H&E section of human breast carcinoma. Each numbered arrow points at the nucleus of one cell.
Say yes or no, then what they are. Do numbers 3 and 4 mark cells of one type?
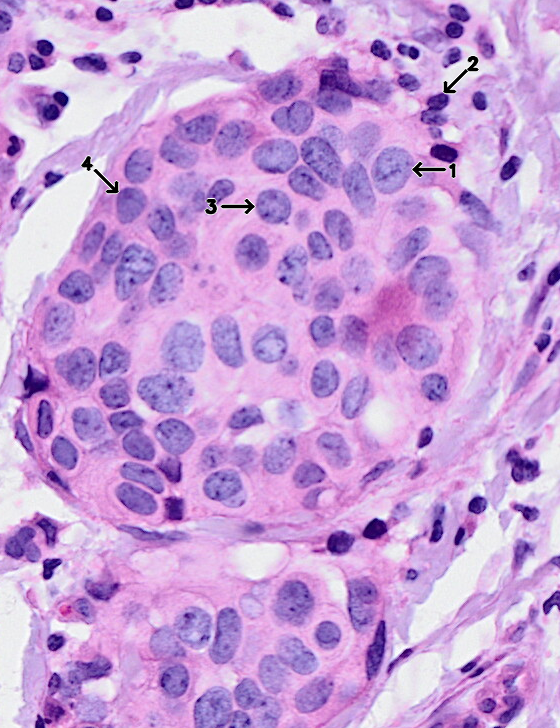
Yes, cells 3 and 4 are both classed as carcinoma cells.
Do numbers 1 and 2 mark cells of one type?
No, the right answer is a carcinoma cell for cell 1 and a lymphocyte for cell 2.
